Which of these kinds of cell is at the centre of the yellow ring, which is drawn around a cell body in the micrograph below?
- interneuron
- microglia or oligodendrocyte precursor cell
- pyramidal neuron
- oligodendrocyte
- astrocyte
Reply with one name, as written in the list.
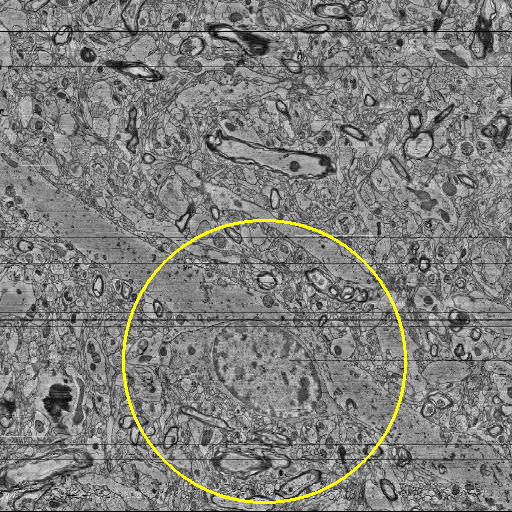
oligodendrocyte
